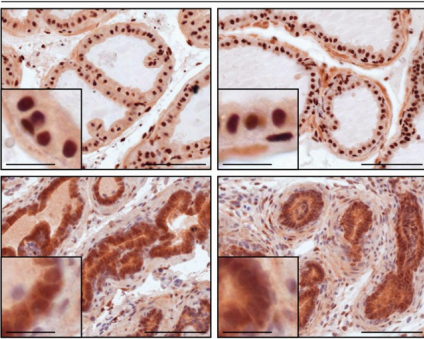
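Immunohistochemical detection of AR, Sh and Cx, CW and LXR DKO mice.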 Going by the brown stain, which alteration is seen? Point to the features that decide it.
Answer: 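Nuclear to cytoplasmic relocalization. In the lower two images the epithelial cytoplasm is diffusely brown and the nuclei are paler. The insets in the upper row show dark brown round nuclei against a pale cytoplasm.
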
